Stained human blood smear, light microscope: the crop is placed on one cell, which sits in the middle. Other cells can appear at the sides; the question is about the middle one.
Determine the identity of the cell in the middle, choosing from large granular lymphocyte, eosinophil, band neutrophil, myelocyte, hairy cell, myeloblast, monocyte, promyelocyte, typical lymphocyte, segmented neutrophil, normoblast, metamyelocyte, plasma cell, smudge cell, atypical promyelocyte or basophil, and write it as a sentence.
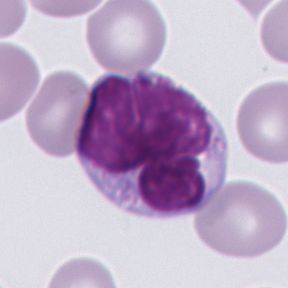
Among the cells in view, the one in the middle is a large granular lymphocyte.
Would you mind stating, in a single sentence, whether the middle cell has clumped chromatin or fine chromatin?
Check the chromatin: it is fine and not coarsely clumped.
